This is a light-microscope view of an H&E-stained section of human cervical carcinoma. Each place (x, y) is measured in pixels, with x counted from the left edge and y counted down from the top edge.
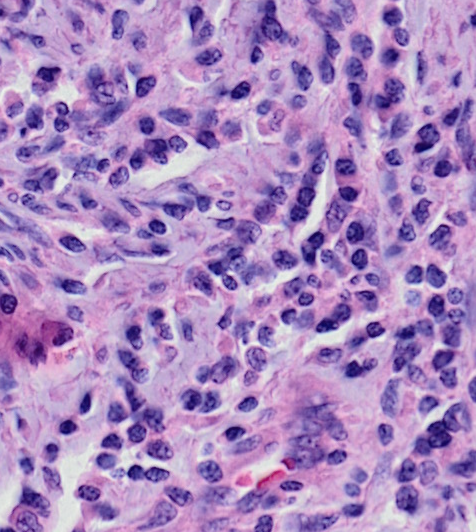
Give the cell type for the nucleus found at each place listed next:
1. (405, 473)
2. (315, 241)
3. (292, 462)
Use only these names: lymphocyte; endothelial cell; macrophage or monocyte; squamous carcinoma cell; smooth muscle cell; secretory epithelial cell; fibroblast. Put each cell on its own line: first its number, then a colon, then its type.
1: lymphocyte
2: lymphocyte
3: endothelial cell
